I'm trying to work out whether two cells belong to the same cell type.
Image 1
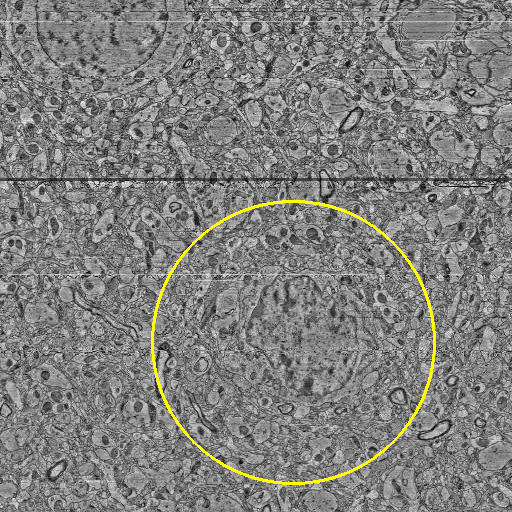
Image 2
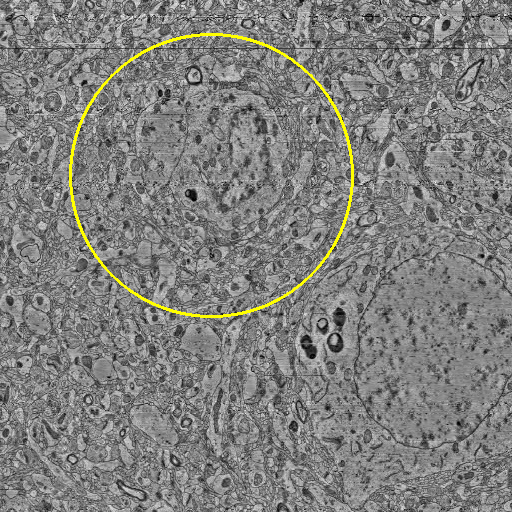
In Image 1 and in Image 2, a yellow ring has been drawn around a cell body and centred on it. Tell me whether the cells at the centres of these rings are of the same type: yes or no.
yes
